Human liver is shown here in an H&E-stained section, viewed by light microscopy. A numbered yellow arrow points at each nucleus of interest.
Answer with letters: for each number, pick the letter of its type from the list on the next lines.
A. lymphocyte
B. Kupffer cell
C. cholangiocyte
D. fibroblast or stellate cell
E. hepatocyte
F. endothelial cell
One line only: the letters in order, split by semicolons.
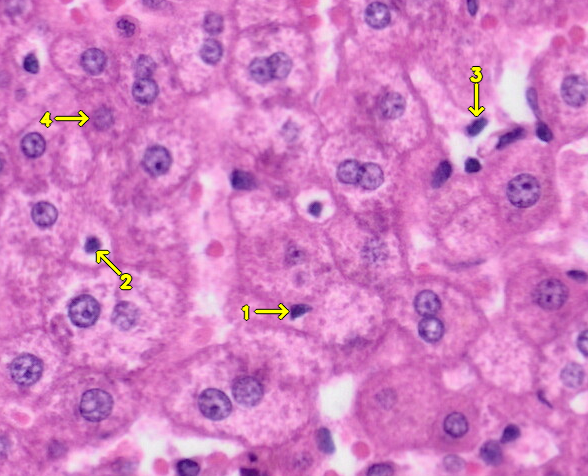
F; A; A; E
